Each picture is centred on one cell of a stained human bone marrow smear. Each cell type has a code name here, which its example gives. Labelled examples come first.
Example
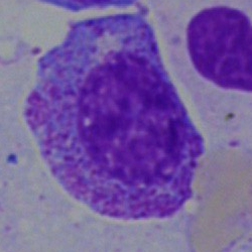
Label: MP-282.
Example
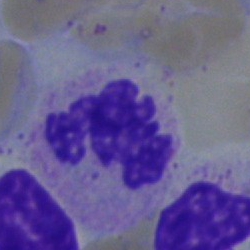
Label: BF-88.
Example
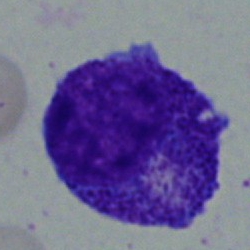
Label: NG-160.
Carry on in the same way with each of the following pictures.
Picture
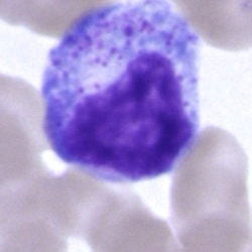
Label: NG-160.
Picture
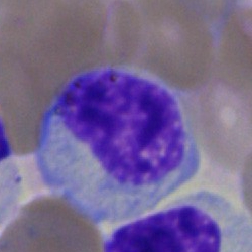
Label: MP-282.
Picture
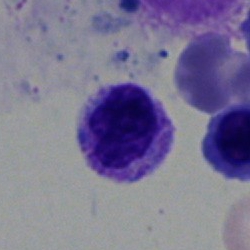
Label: MP-282.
